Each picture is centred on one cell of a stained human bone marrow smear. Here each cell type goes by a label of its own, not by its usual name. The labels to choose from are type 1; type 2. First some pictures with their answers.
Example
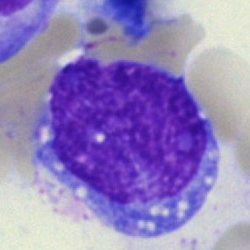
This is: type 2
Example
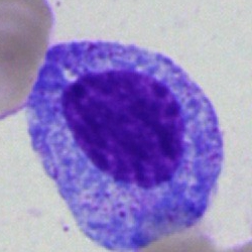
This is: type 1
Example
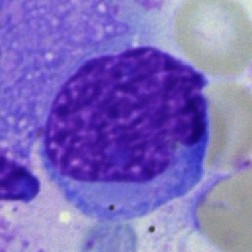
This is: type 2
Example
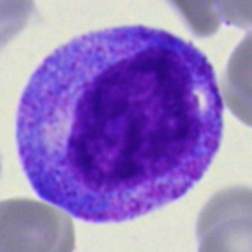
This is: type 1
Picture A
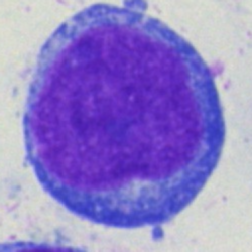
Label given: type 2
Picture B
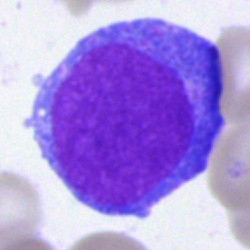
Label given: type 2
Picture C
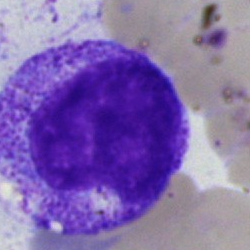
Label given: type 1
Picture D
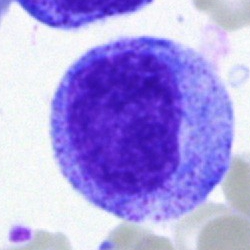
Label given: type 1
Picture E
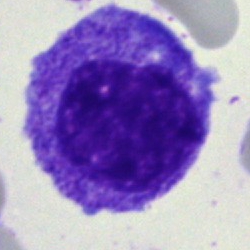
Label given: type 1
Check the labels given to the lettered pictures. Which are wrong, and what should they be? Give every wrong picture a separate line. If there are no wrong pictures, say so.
No label is wrong.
